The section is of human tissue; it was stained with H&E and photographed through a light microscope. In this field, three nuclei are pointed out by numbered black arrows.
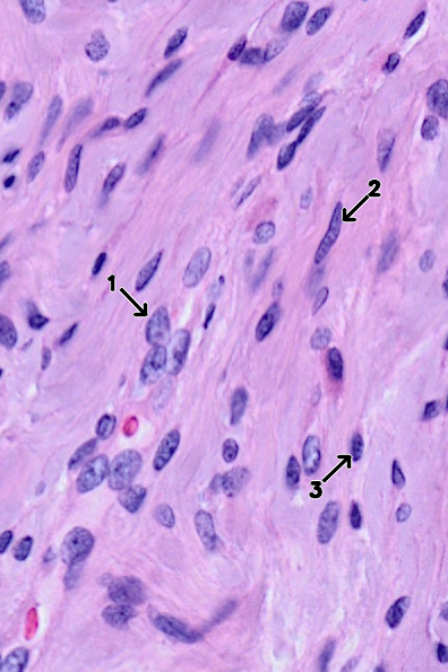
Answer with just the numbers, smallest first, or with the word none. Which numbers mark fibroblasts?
2, 3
